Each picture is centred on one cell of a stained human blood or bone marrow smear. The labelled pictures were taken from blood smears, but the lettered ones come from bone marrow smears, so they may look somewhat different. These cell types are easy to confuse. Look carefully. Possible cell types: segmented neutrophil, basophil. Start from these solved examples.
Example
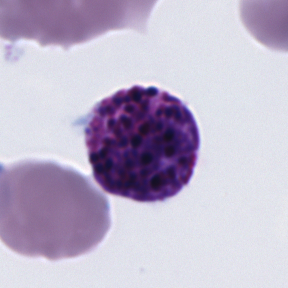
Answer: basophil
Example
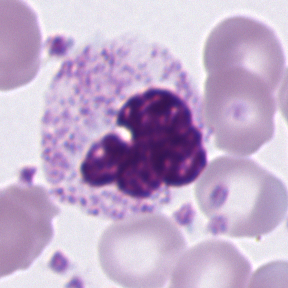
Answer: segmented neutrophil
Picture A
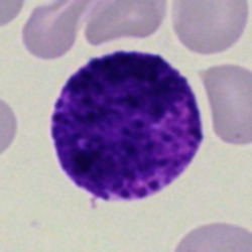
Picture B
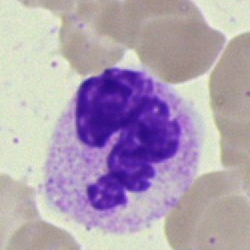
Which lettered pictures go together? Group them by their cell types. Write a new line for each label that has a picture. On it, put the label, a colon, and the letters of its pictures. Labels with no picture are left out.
segmented neutrophil: B
basophil: A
